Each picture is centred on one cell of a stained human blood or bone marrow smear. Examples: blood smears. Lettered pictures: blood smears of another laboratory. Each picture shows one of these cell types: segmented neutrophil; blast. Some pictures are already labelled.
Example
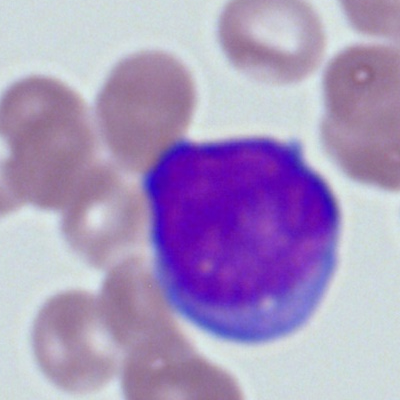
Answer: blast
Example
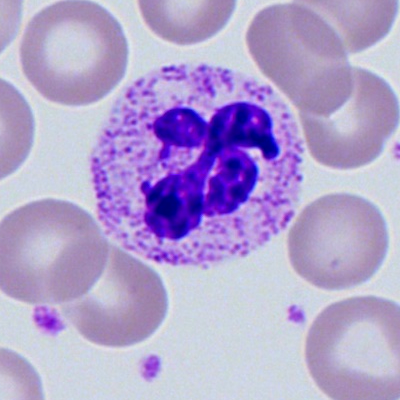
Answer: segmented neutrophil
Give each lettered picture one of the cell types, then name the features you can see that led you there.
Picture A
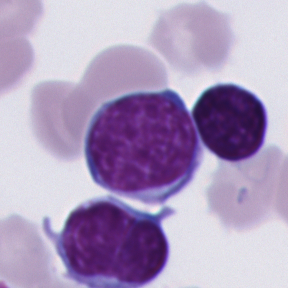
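blast: The cytoplasm is blue.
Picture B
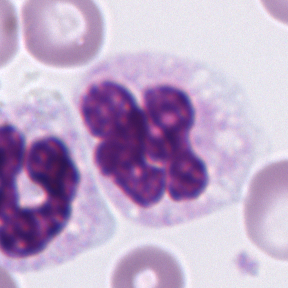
segmented neutrophil: A broad rim of pale pinkish-lilac cytoplasm surrounds the nucleus.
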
